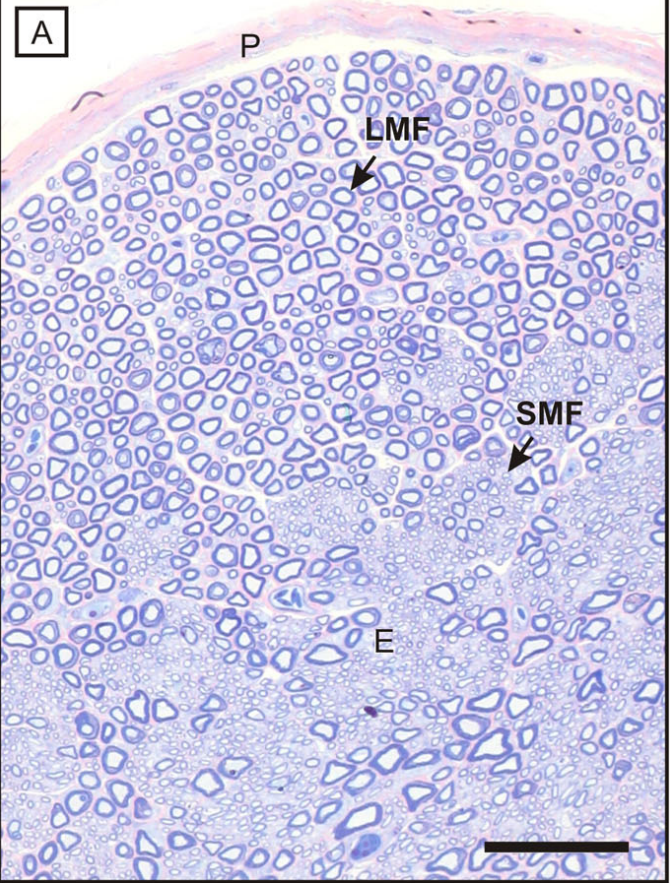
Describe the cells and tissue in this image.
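Cross-section of a peripheral nerve fascicle bounded by a thin pink perineurium, its endoneurium packed with myelinated nerve fibres of two sizes. Large fibres show a thick dark blue ring of myelin around a pale axon, while clusters of small fibres with thin blue rims lie between them. Fibres are tightly packed with little space between them.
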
